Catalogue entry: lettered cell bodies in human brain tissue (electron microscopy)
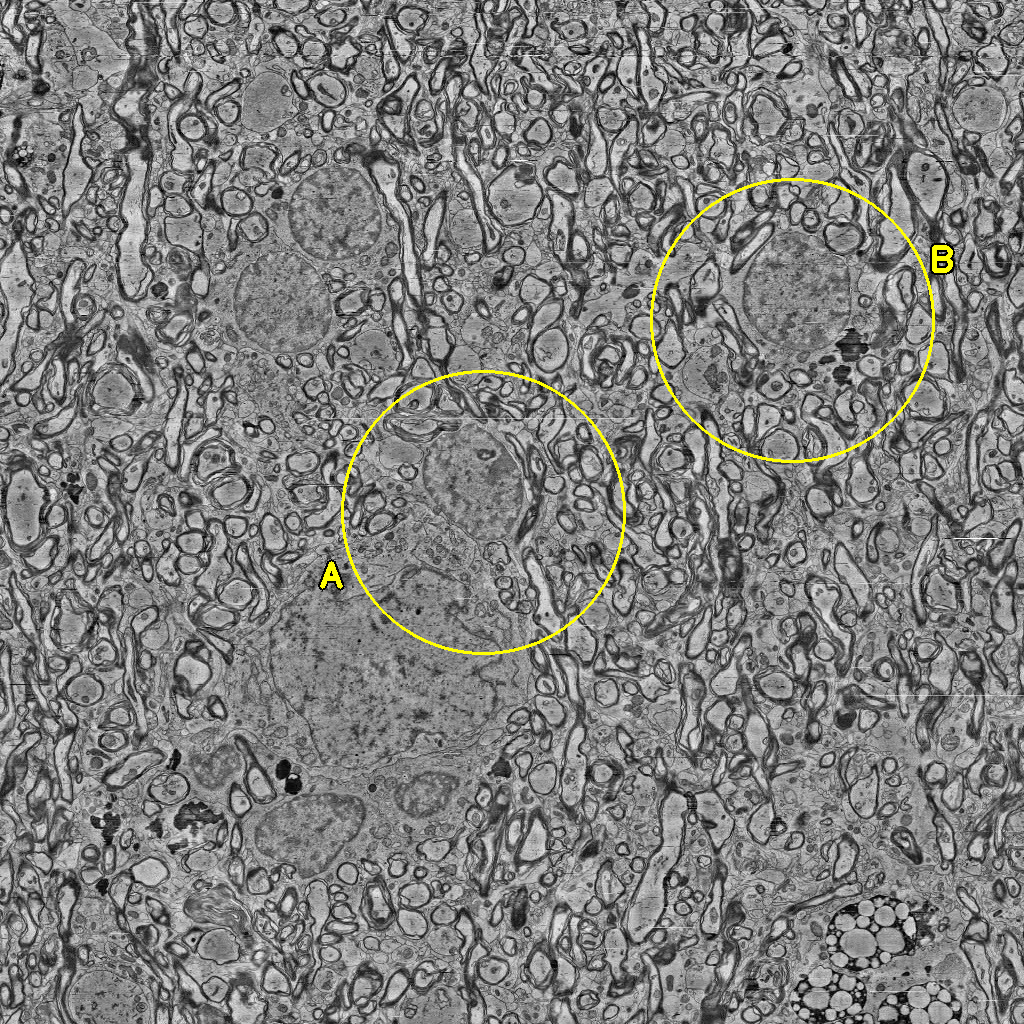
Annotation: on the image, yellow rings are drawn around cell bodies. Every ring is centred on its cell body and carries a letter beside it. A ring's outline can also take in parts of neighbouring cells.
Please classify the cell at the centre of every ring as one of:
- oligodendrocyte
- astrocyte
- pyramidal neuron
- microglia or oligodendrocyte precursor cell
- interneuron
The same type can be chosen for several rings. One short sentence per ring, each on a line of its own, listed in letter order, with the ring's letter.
Ring A is classified as an oligodendrocyte.
Ring B is classified as an oligodendrocyte.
